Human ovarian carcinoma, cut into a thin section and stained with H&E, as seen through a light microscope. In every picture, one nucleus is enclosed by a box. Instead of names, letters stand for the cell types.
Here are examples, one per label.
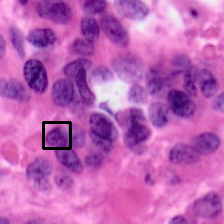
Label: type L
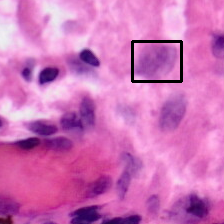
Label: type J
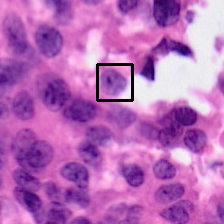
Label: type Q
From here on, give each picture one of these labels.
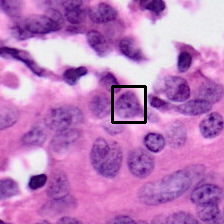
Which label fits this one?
type L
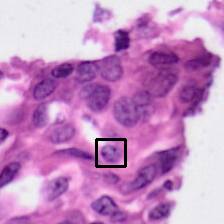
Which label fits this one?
type Q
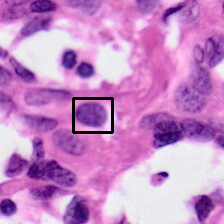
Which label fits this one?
type L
